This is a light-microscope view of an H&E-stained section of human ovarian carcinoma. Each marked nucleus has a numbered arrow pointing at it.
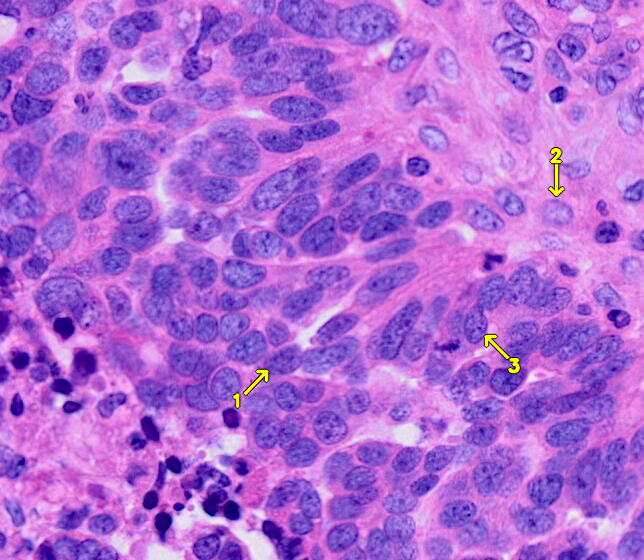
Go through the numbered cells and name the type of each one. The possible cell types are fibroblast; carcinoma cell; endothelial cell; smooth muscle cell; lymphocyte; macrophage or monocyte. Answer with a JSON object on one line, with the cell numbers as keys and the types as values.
{"1": "carcinoma cell", "2": "fibroblast", "3": "carcinoma cell"}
